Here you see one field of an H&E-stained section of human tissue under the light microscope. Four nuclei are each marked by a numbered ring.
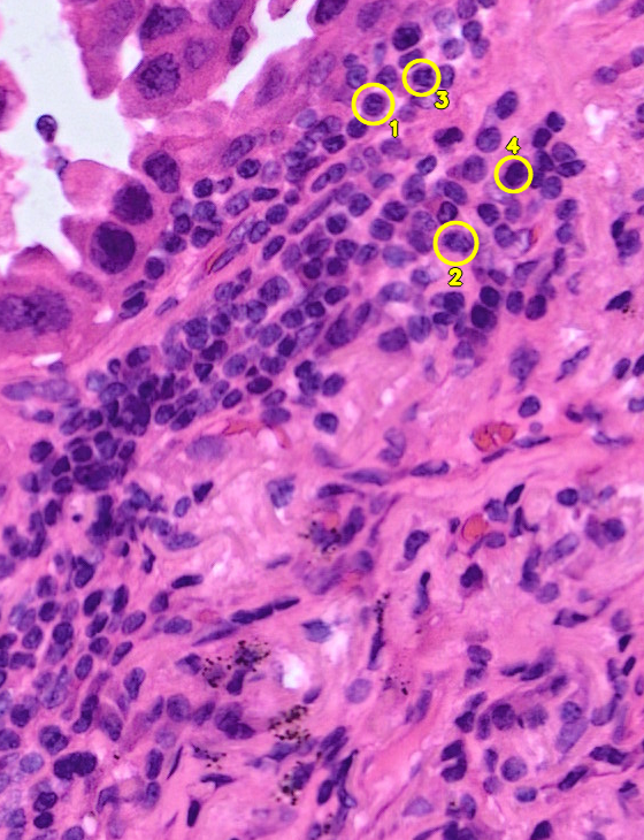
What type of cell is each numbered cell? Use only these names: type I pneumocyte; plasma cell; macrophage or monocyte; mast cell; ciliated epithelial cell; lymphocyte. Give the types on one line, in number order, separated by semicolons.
lymphocyte; lymphocyte; lymphocyte; plasma cell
